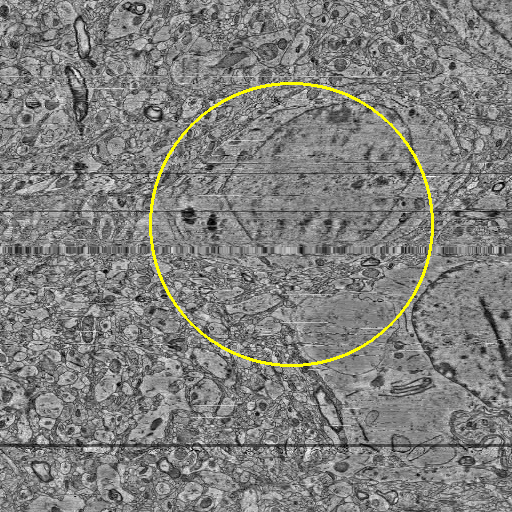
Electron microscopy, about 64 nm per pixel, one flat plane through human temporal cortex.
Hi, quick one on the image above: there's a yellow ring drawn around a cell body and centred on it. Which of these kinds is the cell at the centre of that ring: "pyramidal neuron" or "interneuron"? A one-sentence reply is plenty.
The cell at the centre of the ring is a pyramidal neuron.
